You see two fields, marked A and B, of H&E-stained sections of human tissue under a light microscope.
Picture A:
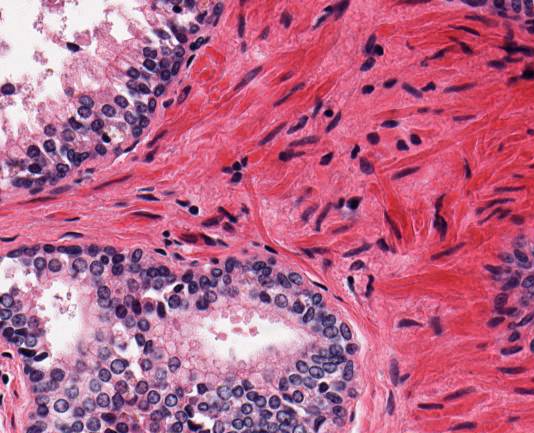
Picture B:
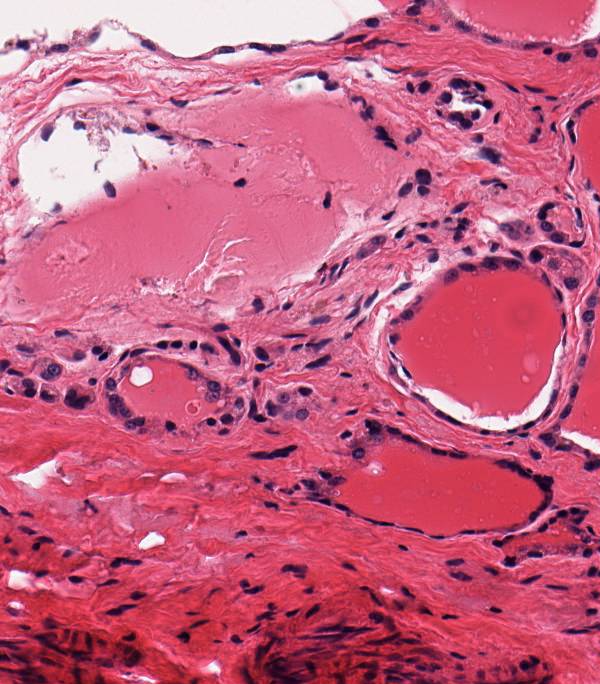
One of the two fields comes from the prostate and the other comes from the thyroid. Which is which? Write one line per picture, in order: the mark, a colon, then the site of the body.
A: prostate
B: thyroid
